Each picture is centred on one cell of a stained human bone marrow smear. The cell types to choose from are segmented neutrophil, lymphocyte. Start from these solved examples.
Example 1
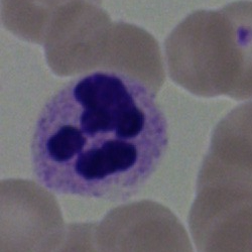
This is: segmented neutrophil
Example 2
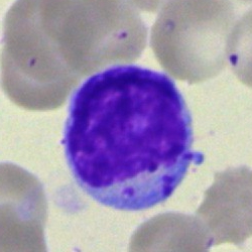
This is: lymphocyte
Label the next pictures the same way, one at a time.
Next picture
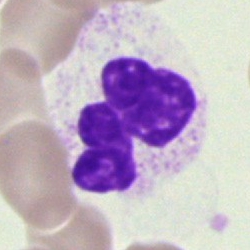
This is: segmented neutrophil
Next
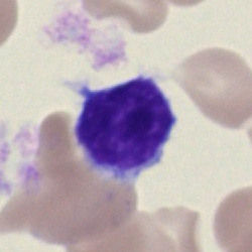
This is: lymphocyte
